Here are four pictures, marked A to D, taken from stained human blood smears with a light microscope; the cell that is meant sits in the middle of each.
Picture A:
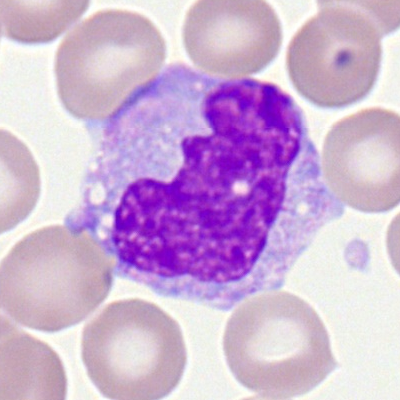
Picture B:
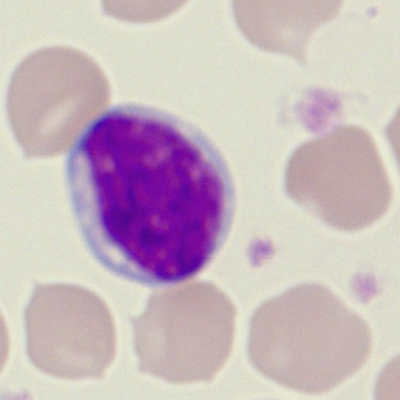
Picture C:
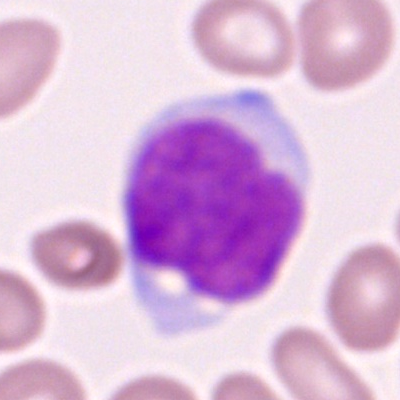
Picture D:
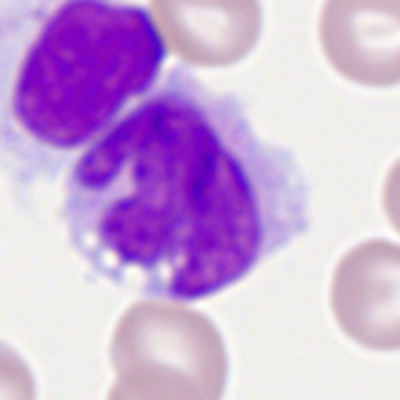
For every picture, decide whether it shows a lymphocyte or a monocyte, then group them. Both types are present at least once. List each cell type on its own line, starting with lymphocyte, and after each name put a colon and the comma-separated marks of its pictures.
lymphocyte: B
monocyte: A, C, D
